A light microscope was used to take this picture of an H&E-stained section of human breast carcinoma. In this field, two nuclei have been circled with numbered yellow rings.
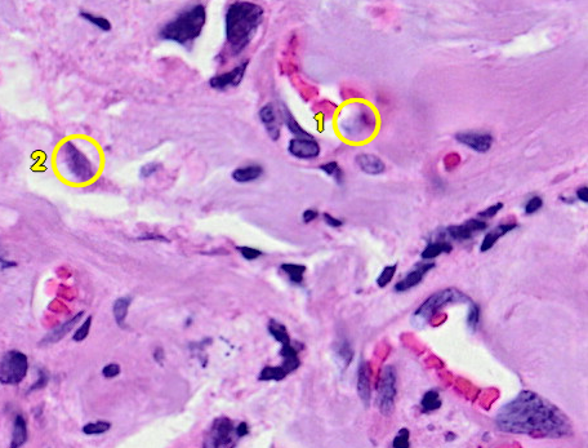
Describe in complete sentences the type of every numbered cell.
Cell 1 is an endothelial cell and cell 2 is a fibroblast.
